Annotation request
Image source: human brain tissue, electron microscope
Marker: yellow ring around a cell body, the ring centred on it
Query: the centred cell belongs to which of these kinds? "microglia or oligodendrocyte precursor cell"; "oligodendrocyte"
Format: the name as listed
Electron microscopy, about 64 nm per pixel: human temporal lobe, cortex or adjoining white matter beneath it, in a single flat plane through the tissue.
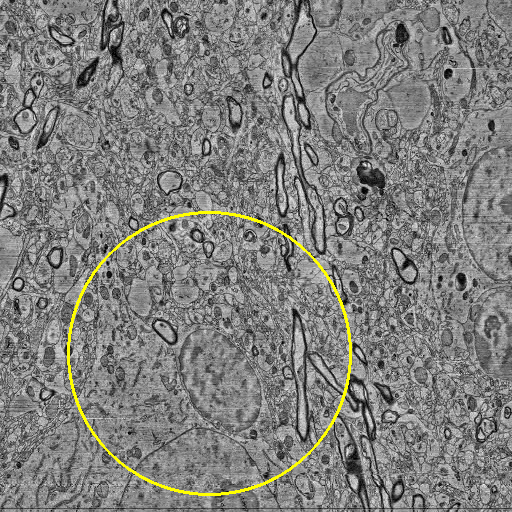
oligodendrocyte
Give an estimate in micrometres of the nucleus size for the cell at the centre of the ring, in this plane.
The nucleus comes to approximately 7 by 5 micrometres and is clearly longer than it is wide in this plane.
